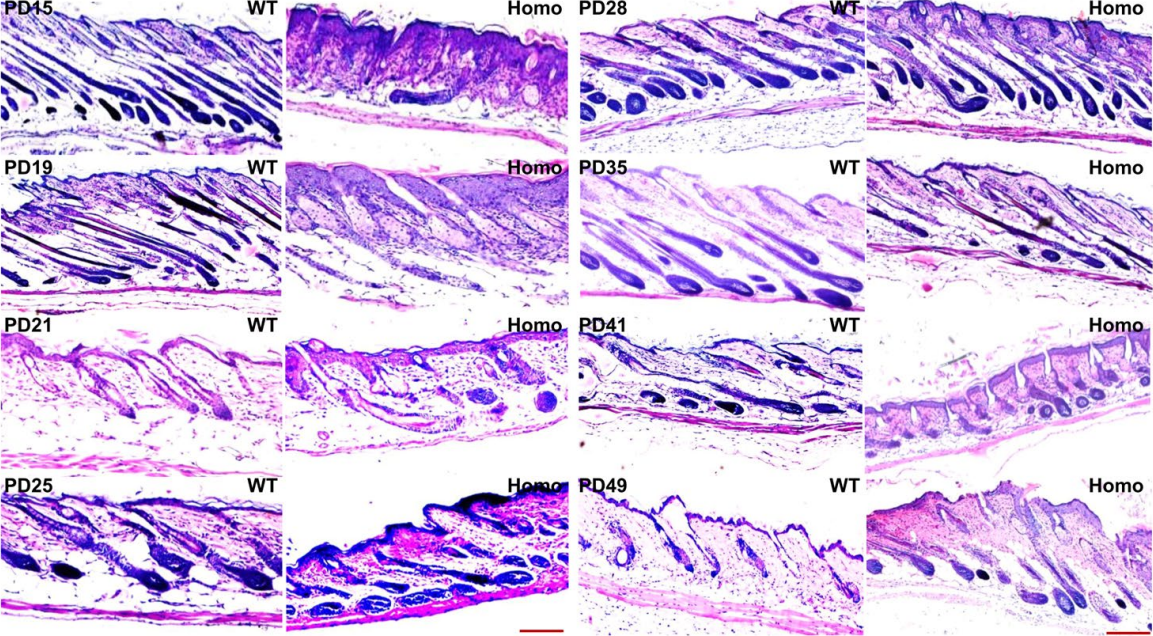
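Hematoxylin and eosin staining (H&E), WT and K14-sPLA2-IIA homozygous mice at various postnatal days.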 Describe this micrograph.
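These are sections of skin in which hair follicles run at a slant from the surface down through the dermis. The surface epidermis is a thin purple line in some images but markedly thickened in others, where the follicles are also shorter and irregular. A pink band of connective tissue and muscle runs along the lower edge of most sections.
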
